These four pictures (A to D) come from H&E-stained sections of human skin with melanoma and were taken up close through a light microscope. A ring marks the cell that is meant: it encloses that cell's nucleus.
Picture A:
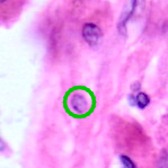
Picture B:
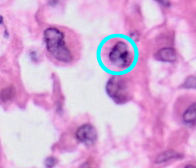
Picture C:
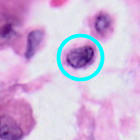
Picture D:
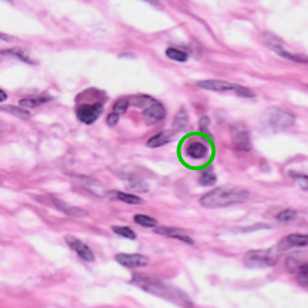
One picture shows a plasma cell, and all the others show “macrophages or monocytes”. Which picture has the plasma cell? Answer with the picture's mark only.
D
